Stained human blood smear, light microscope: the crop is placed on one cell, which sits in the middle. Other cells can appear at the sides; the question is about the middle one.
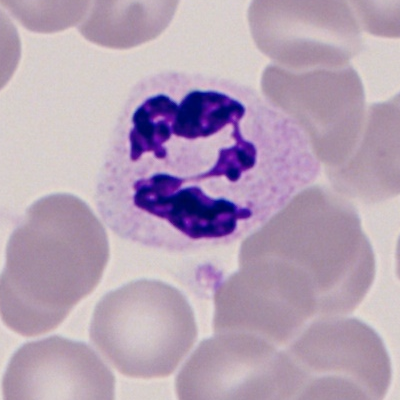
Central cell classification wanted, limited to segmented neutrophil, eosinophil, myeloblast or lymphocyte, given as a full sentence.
The single cell at the center of the crop is a segmented neutrophil.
